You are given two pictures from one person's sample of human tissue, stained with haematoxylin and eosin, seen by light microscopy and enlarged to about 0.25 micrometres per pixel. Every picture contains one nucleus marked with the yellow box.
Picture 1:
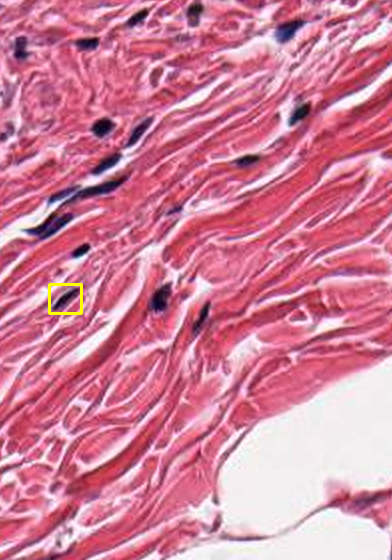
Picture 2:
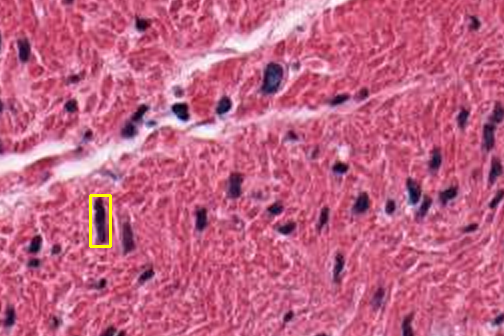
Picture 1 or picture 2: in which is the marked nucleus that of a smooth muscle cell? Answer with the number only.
2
